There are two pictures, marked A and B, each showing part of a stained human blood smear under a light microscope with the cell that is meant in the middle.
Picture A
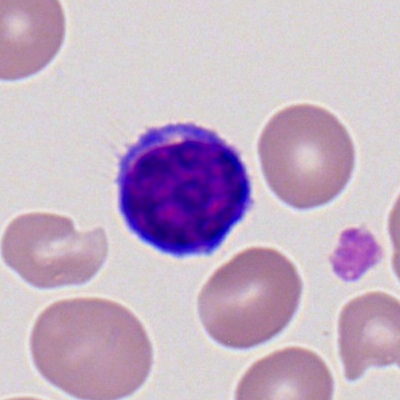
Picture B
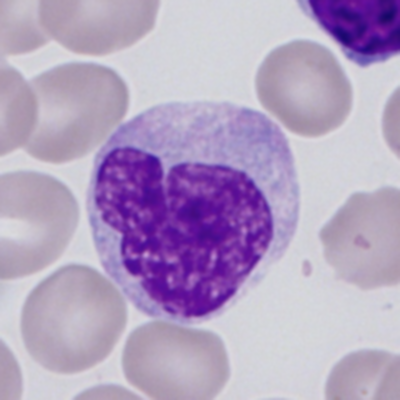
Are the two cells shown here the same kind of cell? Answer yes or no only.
no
